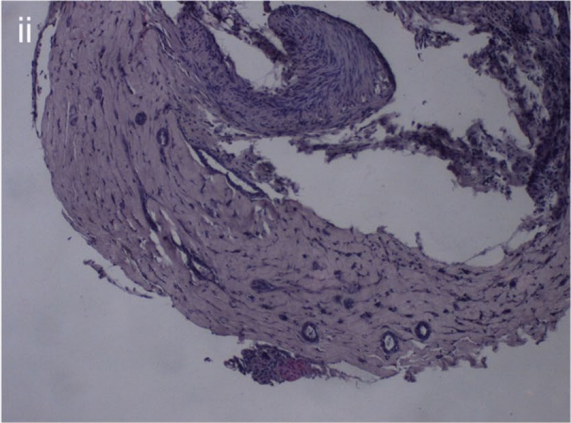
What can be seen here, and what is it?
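Scattered dark, elongated nuclei lie along the fibres, and they are more densely packed in the folded lobe. Several small round ring-like structures with dark rims lie within the band.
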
